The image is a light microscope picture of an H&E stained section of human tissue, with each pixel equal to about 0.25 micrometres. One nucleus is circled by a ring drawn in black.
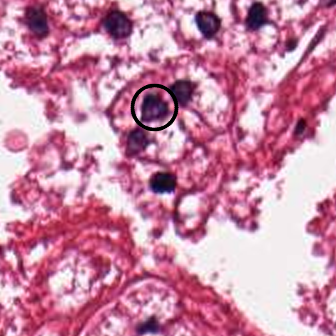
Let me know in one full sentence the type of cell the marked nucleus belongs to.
In the section shown, the marked nucleus belongs to an adrenal cortical cell.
